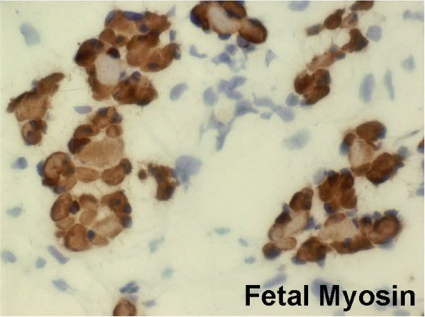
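Most fibres are brown, of varied size and intensity; some larger pale fibres lie within clusters surrounded by smaller darker ones. Clusters are separated by pale, unstained loose tissue containing scattered blue elongated nuclei.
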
